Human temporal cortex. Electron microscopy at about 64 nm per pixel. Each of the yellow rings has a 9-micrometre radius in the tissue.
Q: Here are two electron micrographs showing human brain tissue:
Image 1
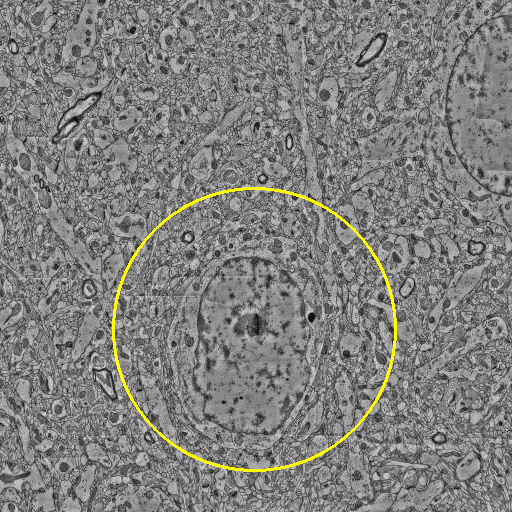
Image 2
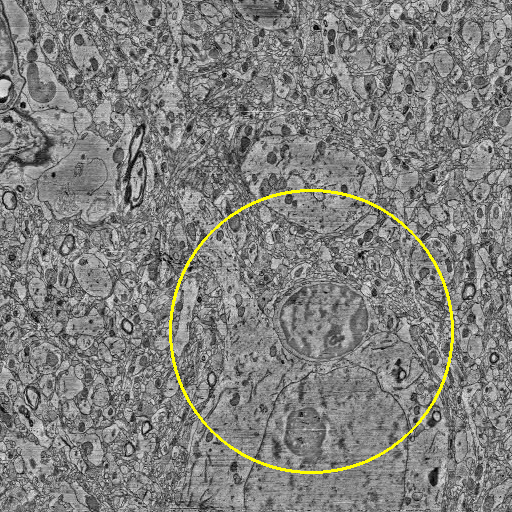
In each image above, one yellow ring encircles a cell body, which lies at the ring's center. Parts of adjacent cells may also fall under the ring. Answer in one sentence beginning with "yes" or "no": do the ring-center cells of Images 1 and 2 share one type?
No, in Images 1 and 2, the ring-center cells are of two types.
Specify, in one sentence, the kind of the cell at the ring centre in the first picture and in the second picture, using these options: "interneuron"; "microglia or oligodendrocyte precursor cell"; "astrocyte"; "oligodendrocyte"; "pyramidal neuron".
So the first is an interneuron, the second an oligodendrocyte.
